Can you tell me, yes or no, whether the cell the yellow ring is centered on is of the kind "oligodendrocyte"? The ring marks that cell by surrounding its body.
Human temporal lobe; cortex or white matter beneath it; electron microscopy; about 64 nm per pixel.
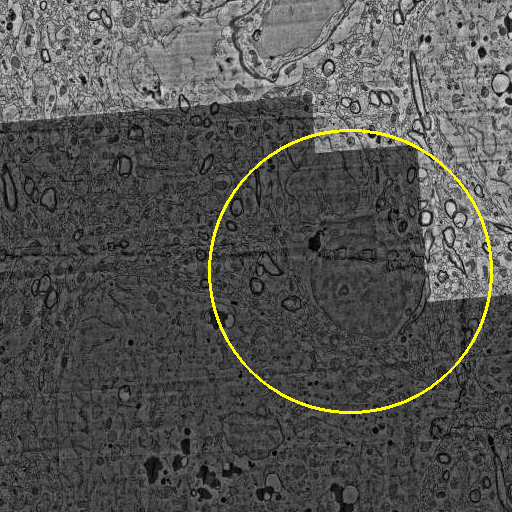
yes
